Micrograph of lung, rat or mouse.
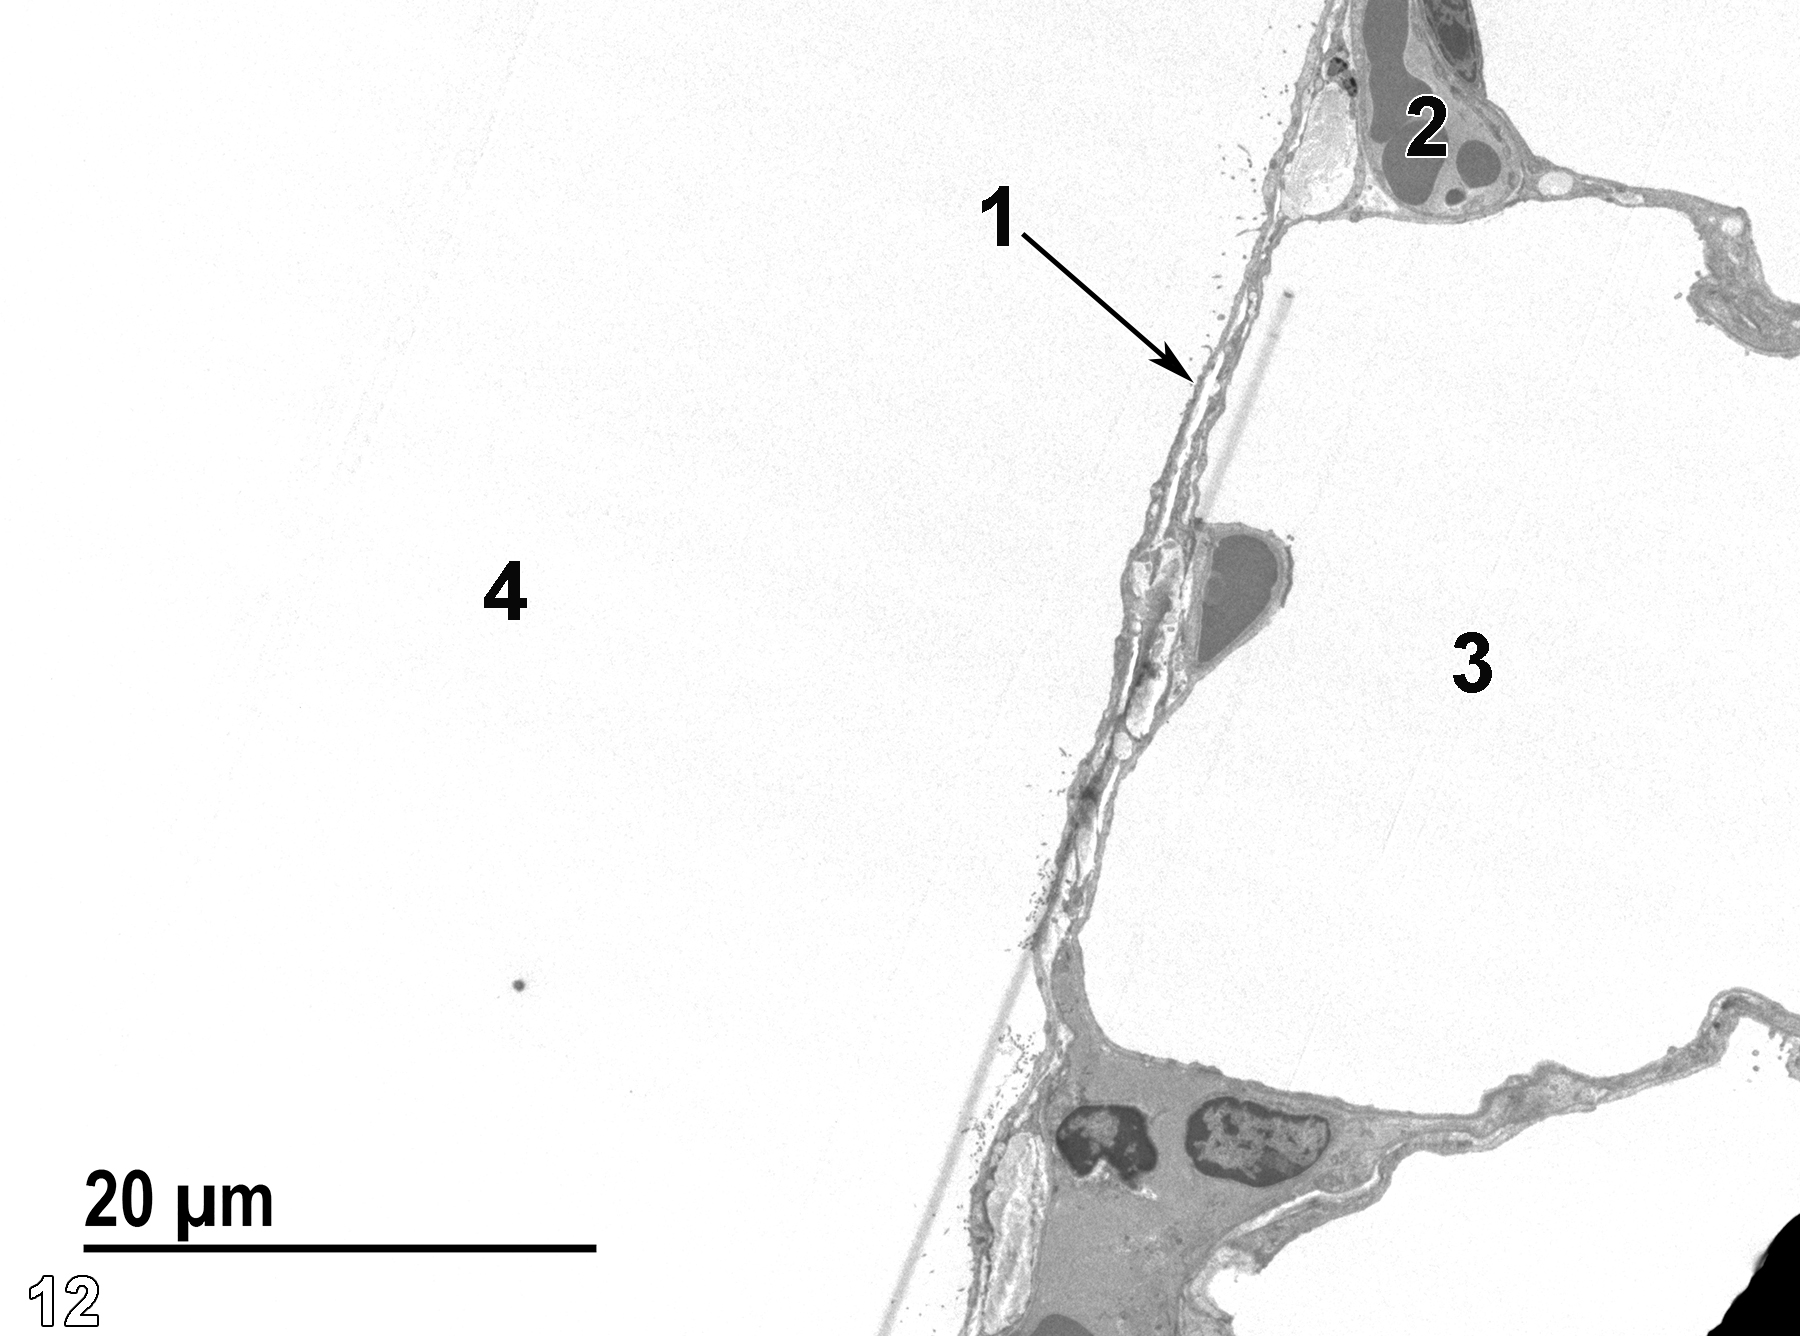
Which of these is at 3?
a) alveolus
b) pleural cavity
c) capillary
a) alveolus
